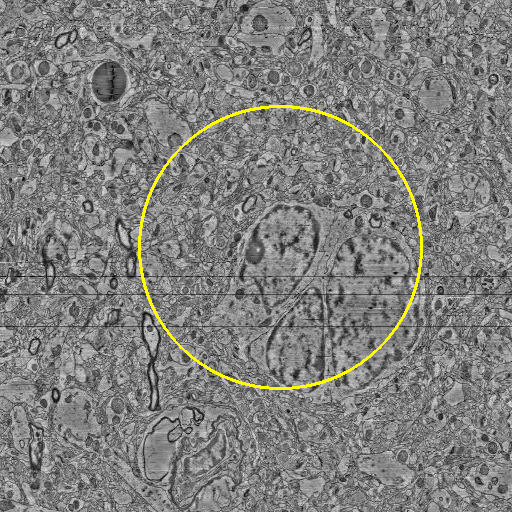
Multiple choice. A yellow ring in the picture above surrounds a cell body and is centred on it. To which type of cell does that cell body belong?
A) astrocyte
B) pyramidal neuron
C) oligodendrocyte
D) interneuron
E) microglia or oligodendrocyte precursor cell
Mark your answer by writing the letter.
E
